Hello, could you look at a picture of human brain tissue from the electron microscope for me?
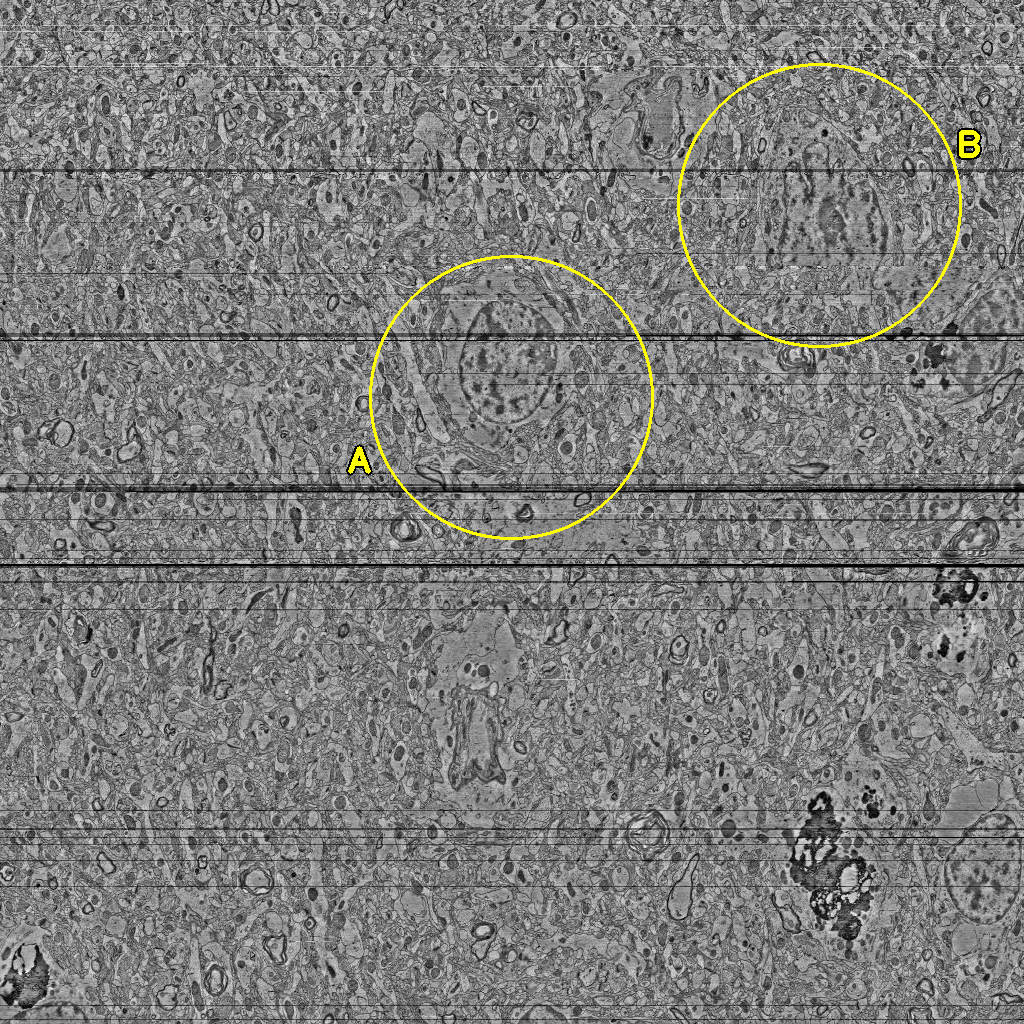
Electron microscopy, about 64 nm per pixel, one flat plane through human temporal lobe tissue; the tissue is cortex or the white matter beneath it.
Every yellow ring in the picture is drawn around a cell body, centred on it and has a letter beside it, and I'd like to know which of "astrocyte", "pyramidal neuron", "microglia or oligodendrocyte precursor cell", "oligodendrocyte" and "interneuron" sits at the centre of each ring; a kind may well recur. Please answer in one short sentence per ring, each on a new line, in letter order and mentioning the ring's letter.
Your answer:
The cell sitting at the centre of ring A is an astrocyte.
The cell sitting at the centre of ring B is an interneuron.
